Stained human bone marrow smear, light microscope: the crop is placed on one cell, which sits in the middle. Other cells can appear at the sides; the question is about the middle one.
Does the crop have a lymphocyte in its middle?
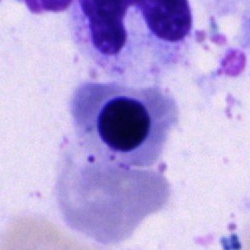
no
